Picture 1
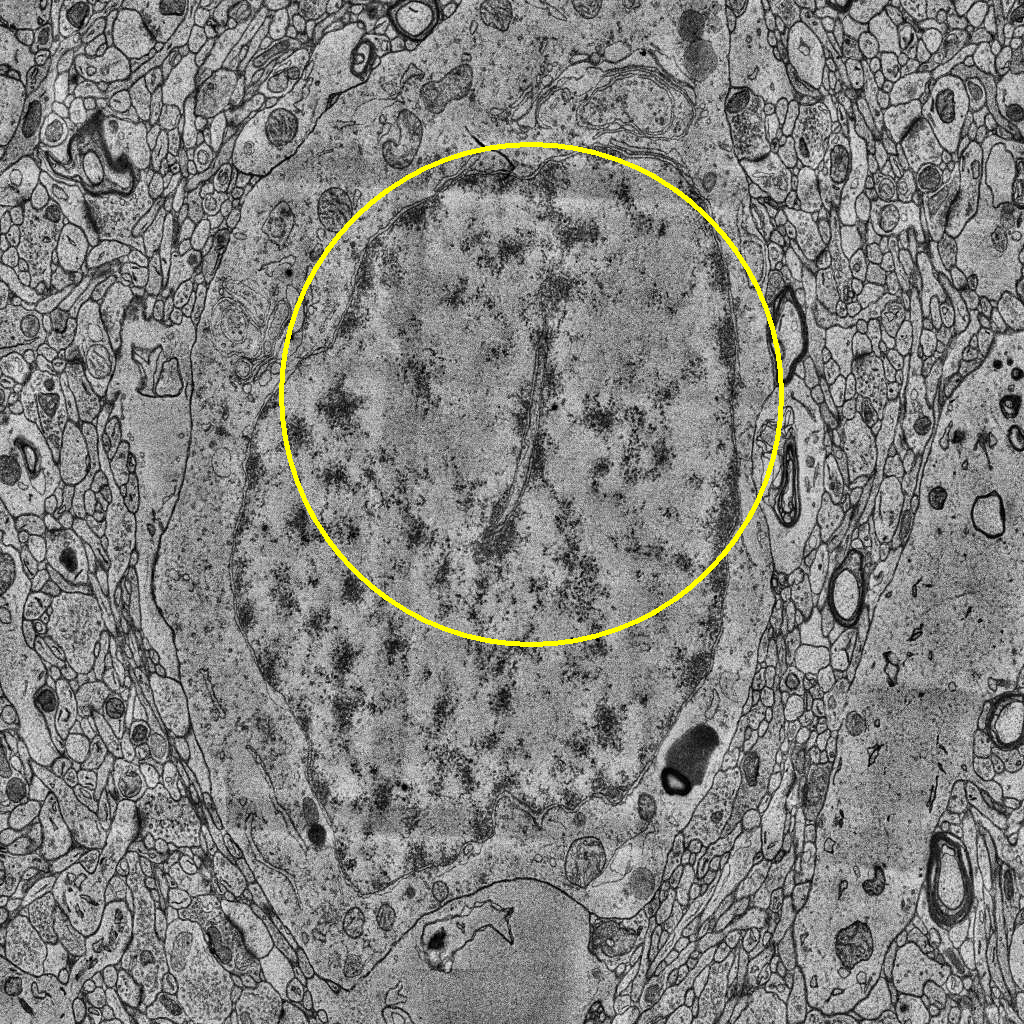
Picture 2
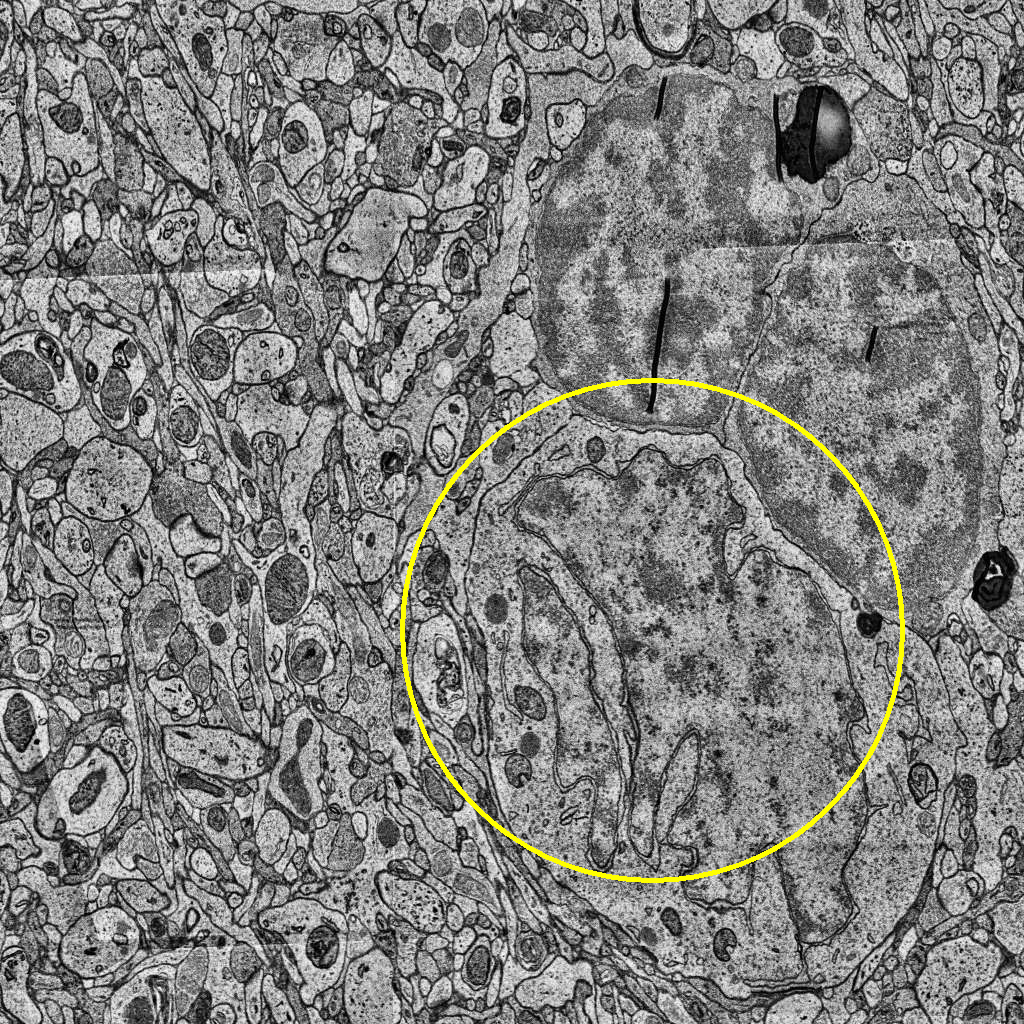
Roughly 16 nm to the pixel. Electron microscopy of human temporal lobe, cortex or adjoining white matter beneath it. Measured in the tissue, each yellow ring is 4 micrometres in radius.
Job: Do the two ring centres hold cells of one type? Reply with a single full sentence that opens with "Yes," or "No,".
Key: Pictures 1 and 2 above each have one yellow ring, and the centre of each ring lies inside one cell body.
Yes, the cells at the two ring centres are of one single type.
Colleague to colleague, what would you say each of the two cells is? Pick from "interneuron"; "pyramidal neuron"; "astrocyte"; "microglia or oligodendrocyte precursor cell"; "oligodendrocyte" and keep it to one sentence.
Both cells are the same kind, each one being an interneuron.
